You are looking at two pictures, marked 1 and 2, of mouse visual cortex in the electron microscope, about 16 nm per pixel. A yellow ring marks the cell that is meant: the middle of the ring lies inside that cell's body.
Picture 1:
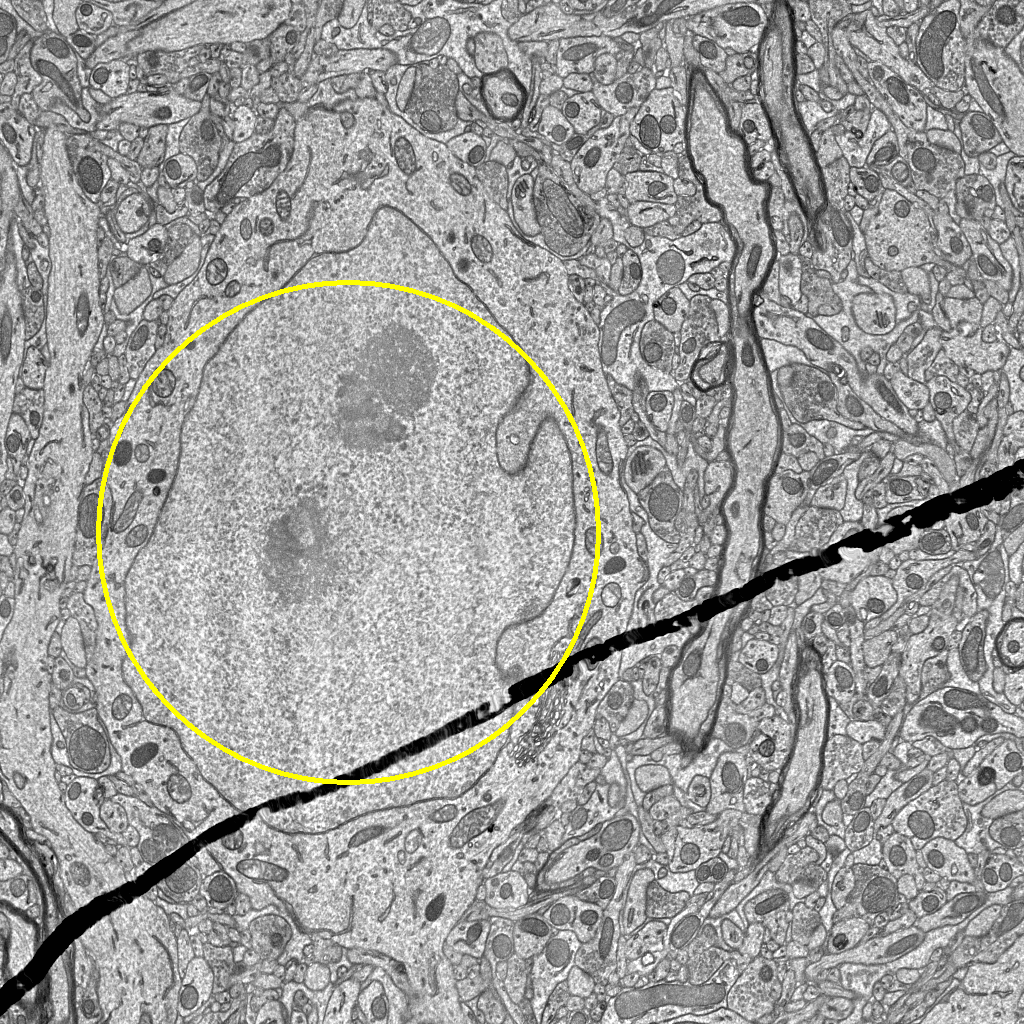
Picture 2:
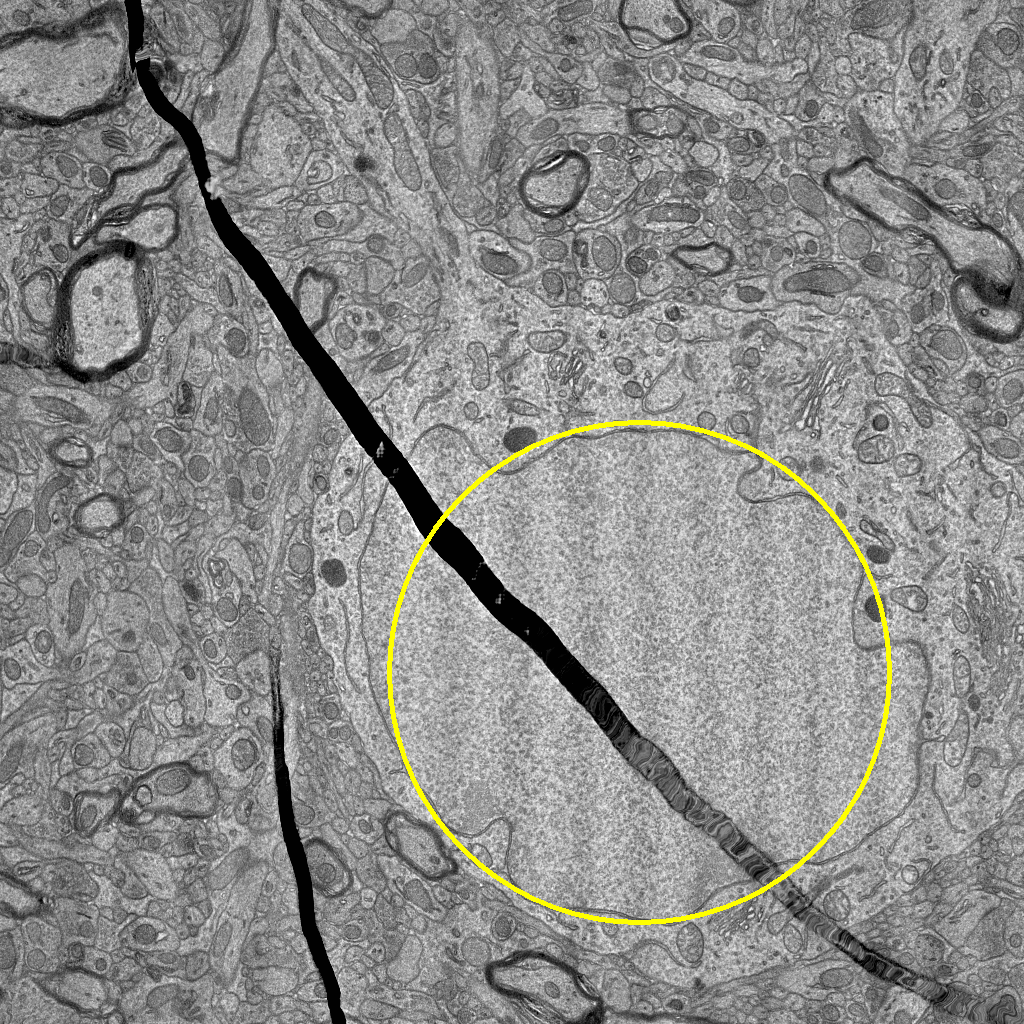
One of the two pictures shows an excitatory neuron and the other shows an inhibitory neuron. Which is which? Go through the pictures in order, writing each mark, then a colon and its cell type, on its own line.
1: excitatory neuron
2: inhibitory neuron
